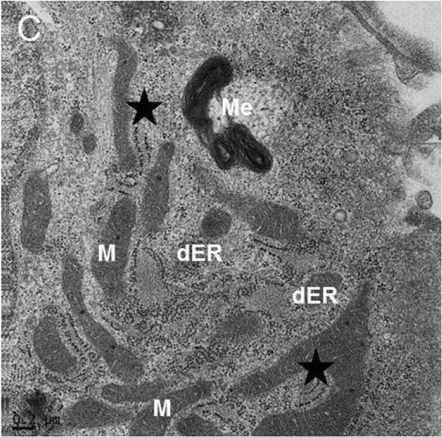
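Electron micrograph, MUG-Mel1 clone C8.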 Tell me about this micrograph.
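The cytoplasm of a cell near its surface is crowded with many elongated, slender mitochondria of dense matrix, some curved and lying in parallel. Between them run widened, flattened cisternae of endoplasmic reticulum studded with dark granules. Near the top a cluster of very electron-dense, irregular melanosomes lies close to the cell surface, which carries small projections.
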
